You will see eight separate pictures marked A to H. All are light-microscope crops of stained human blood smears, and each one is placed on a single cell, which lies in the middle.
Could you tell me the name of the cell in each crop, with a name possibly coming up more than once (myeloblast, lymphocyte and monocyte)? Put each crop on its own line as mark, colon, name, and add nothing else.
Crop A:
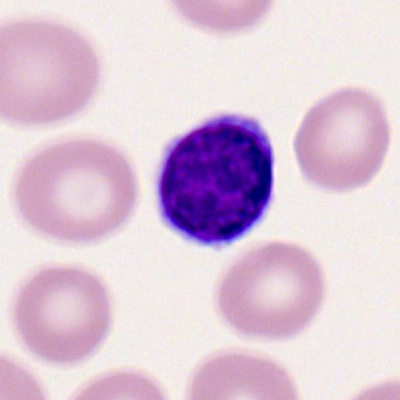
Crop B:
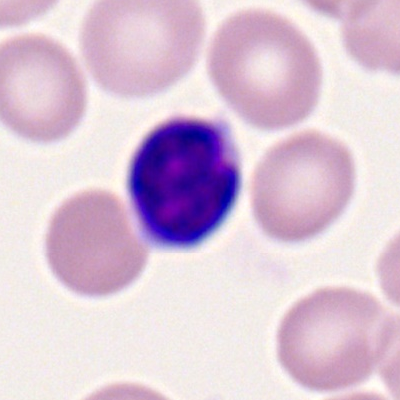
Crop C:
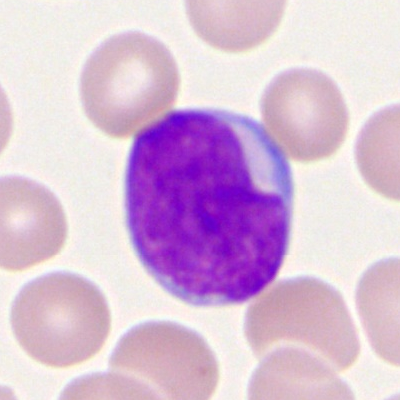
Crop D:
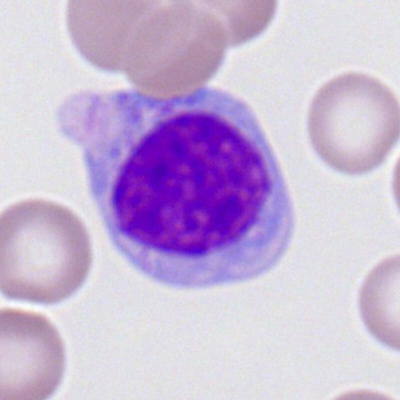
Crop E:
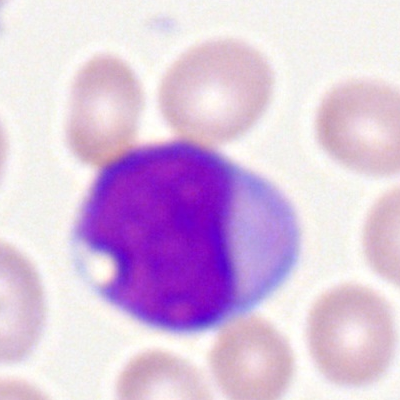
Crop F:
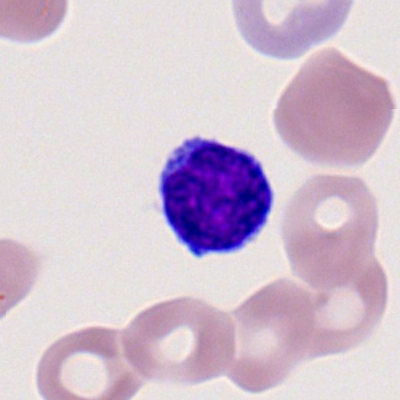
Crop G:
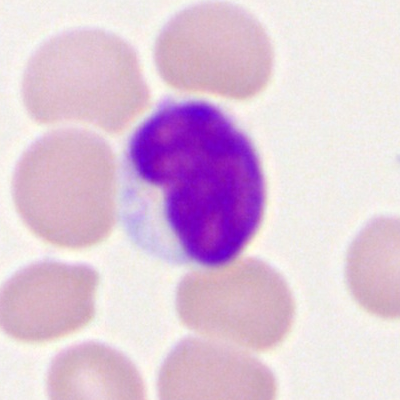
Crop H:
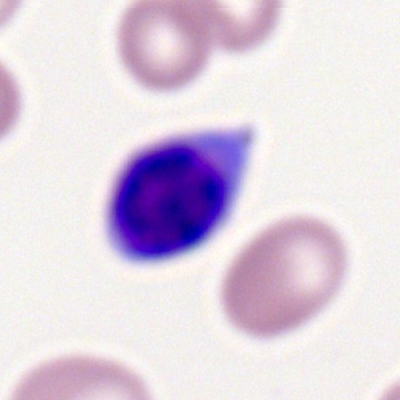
A: lymphocyte
B: lymphocyte
C: myeloblast
D: monocyte
E: myeloblast
F: lymphocyte
G: lymphocyte
H: lymphocyte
